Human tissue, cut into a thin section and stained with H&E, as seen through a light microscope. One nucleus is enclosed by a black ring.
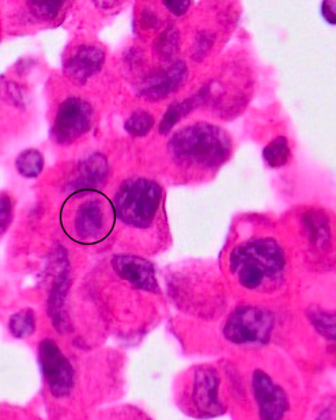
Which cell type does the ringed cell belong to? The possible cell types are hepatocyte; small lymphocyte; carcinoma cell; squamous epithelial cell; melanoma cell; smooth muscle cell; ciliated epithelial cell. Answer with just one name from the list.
carcinoma cell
